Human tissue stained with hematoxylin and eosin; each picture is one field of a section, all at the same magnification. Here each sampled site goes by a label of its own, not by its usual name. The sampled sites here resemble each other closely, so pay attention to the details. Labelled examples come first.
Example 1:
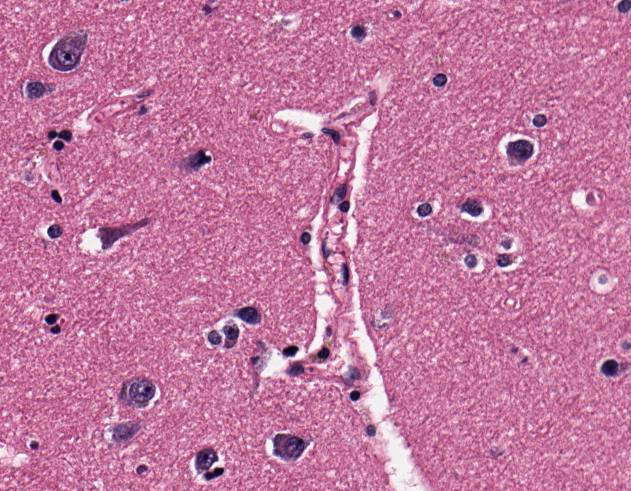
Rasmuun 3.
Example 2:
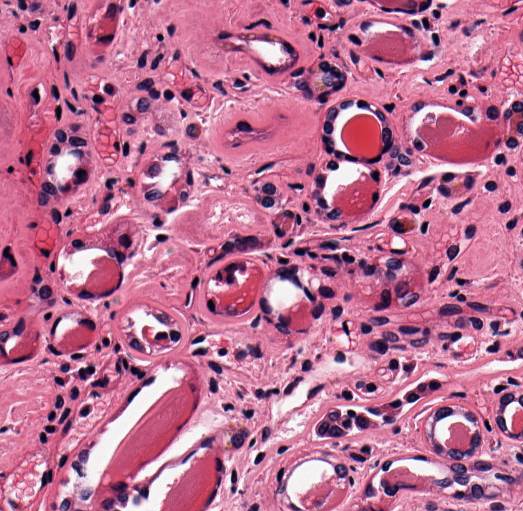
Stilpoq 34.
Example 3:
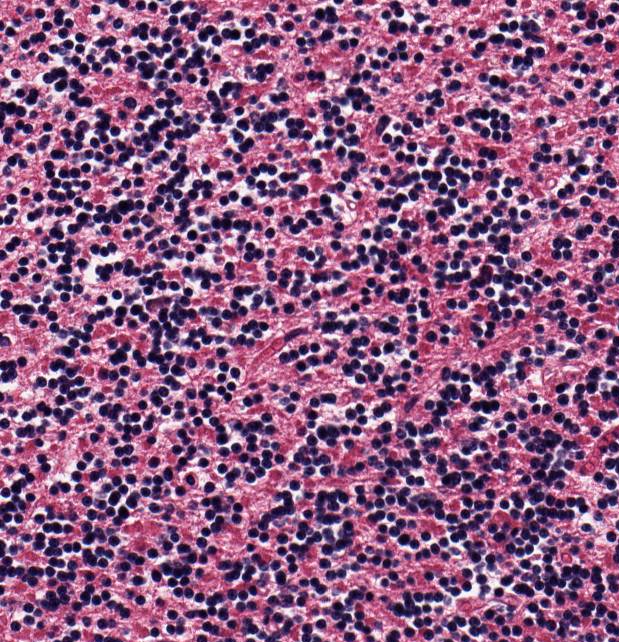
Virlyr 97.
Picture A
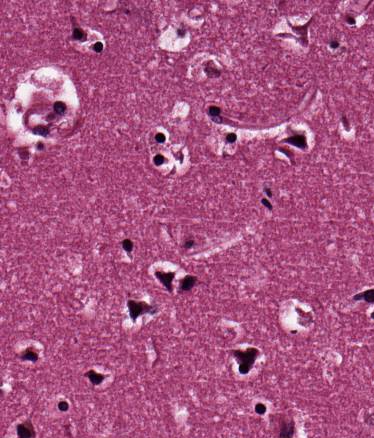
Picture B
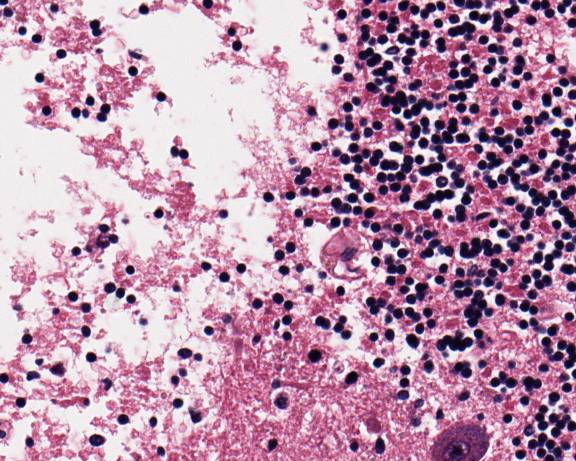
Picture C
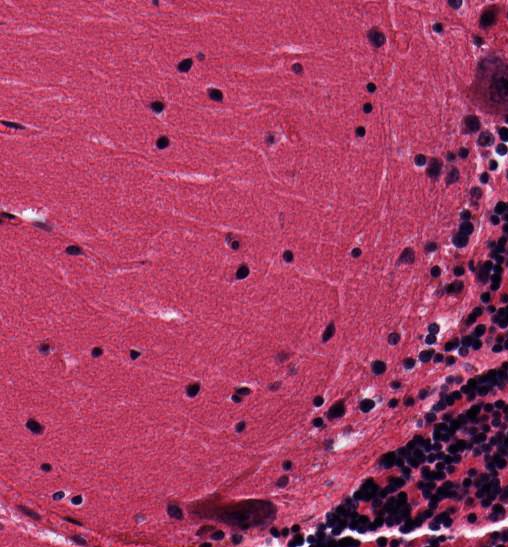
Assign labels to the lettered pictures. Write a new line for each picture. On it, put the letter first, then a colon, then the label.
A: Rasmuun 3.
B: Virlyr 97.
C: Virlyr 97.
